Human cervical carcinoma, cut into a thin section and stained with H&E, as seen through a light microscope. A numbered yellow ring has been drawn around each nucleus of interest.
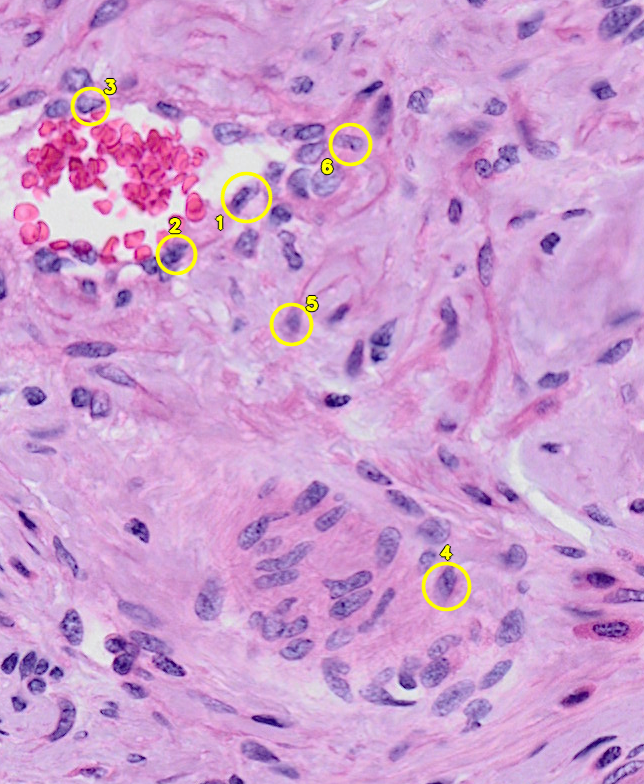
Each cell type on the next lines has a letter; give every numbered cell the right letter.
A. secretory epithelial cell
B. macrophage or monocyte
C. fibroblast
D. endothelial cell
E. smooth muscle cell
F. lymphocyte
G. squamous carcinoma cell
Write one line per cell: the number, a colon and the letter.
1: D
2: D
3: D
4: E
5: E
6: E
